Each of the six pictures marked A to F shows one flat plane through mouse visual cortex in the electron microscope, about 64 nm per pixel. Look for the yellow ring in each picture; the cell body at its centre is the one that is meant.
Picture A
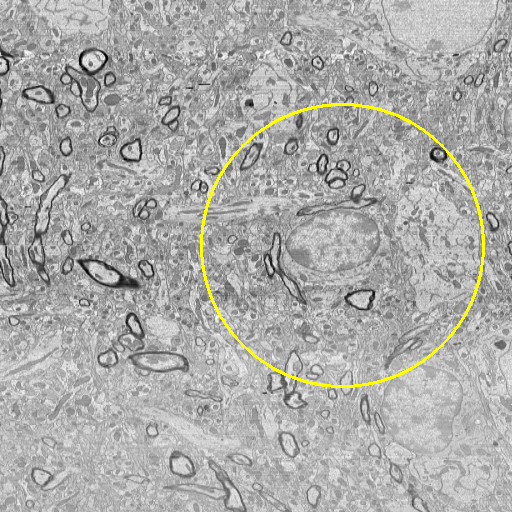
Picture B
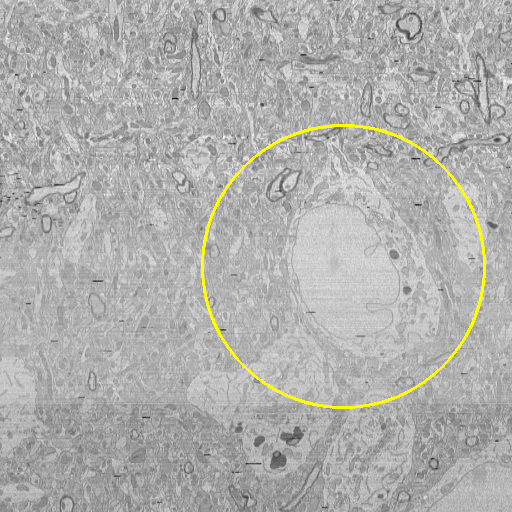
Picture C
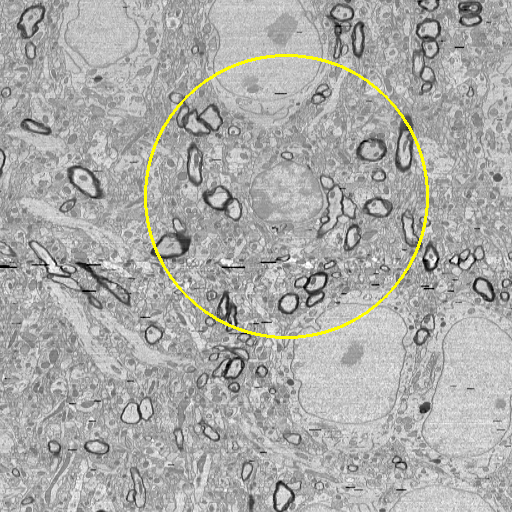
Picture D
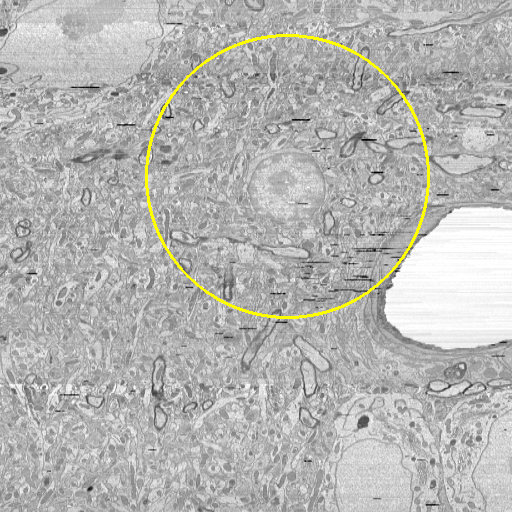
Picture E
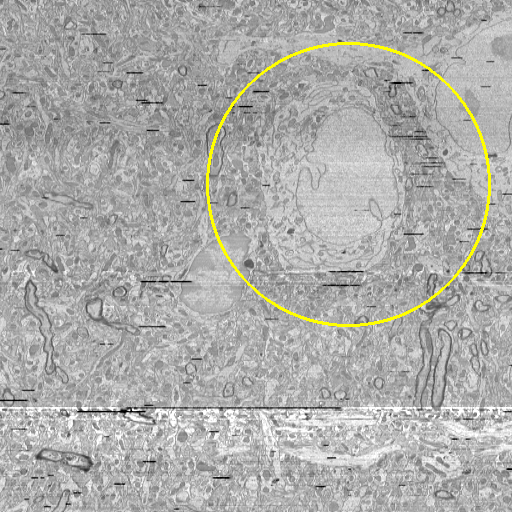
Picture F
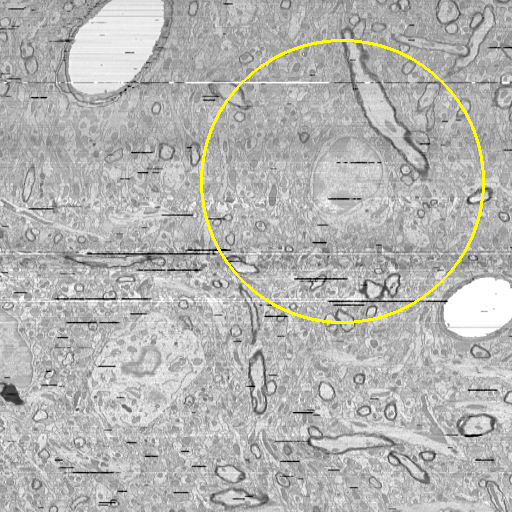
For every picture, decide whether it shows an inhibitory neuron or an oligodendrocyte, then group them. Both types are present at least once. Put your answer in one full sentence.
Pictures B and E show inhibitory neurons, and pictures A, C, D and F show oligodendrocytes.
